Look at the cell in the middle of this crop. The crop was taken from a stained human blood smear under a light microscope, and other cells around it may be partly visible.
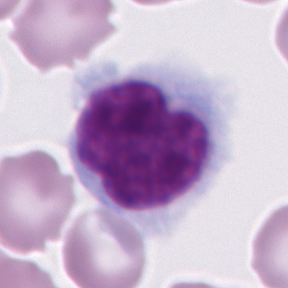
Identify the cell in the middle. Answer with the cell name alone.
hairy cell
